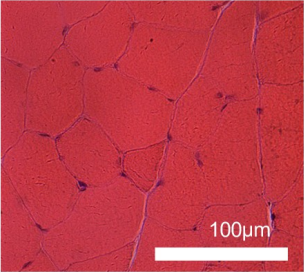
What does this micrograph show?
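This is a cross-section of skeletal muscle, with the myofibers cut across. They appear as large polygonal profiles filled with evenly pink cytoplasm and packed closely together. Only thin pale lines of connective tissue separate them. The dark purple nuclei lie at the edges of the fibres, just under their borders, rather than in their centres.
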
